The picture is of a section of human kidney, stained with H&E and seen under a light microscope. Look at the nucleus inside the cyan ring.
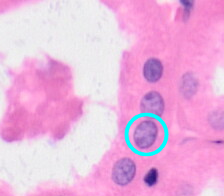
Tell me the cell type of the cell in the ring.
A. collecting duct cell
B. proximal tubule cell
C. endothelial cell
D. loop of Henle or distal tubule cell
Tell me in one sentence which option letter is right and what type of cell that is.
Of all the options, B is right, since the cell in the ring is a proximal tubule cell.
